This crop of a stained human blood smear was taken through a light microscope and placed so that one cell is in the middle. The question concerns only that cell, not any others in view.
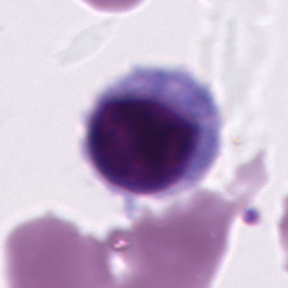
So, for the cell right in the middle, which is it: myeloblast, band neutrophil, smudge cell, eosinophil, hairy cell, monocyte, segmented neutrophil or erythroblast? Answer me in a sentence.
The cell at the central position in this crop is a hairy cell.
